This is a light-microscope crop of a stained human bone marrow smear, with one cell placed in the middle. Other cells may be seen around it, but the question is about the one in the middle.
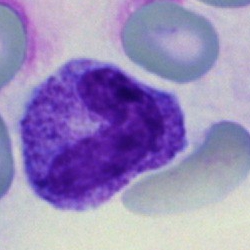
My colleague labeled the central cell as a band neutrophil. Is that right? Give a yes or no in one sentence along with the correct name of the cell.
Yes, the cell of interest in the middle is a band neutrophil.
